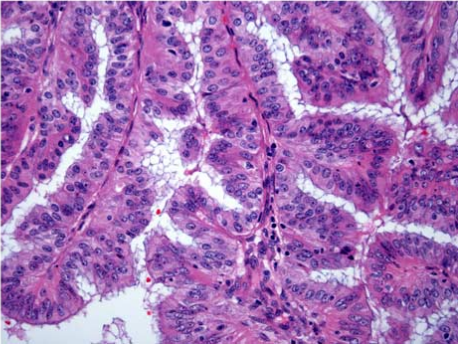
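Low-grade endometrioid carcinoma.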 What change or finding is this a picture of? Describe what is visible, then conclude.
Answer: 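Oval nuclei of fairly uniform size and shape. Columnar cells with pink cytoplasm lining thin cores. On this evidence: minimal atypia.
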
